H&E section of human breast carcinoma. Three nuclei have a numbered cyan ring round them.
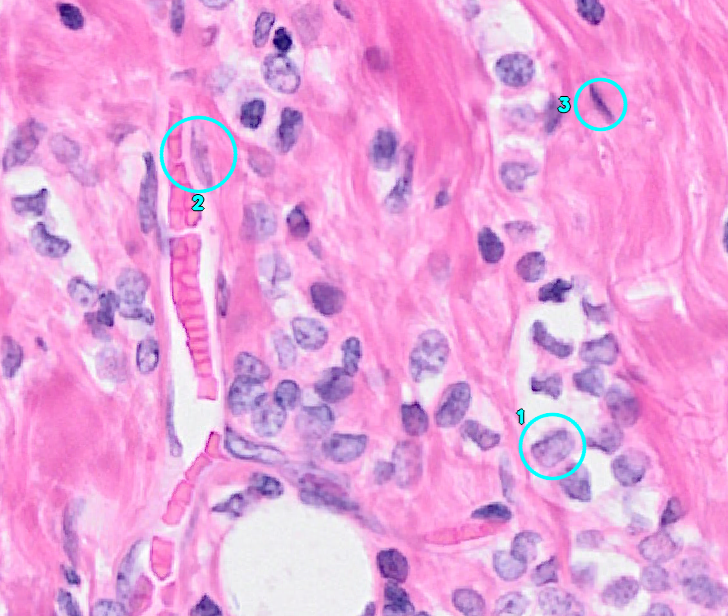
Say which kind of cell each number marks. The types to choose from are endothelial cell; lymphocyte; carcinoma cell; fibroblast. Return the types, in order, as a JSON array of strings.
["carcinoma cell", "endothelial cell", "fibroblast"]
